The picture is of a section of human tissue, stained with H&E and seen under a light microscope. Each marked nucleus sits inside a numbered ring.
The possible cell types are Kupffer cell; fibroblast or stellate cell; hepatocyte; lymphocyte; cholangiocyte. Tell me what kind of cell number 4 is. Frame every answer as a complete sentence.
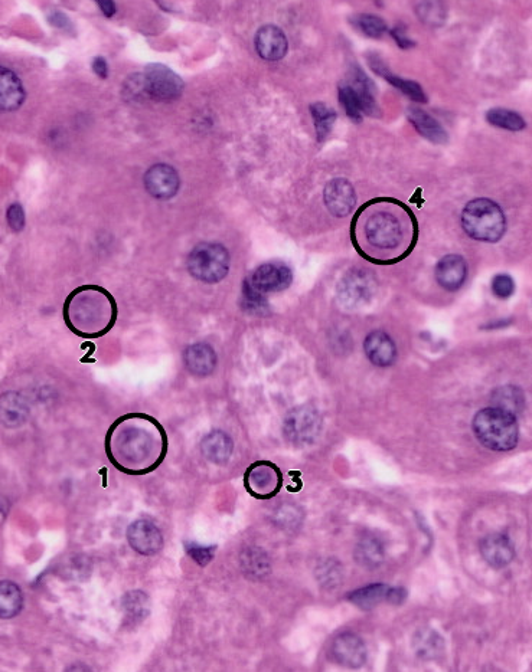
Among the marked nuclei, number 4 belongs to a hepatocyte.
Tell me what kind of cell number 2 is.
The expected answer is that cell 2 is a hepatocyte.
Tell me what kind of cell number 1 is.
Cell 1, among those numbered, is a hepatocyte.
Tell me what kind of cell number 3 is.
The cell indicated by marker 3 is a fibroblast or stellate cell in this section.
